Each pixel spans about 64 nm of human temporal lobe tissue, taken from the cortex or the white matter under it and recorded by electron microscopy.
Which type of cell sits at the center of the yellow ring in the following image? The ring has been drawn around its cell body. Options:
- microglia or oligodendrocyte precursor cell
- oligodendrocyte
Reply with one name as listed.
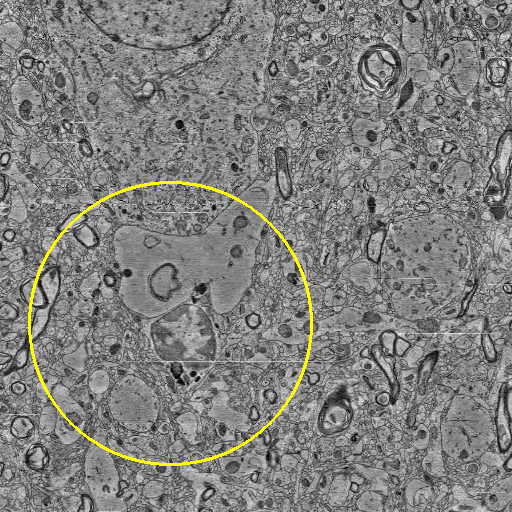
microglia or oligodendrocyte precursor cell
